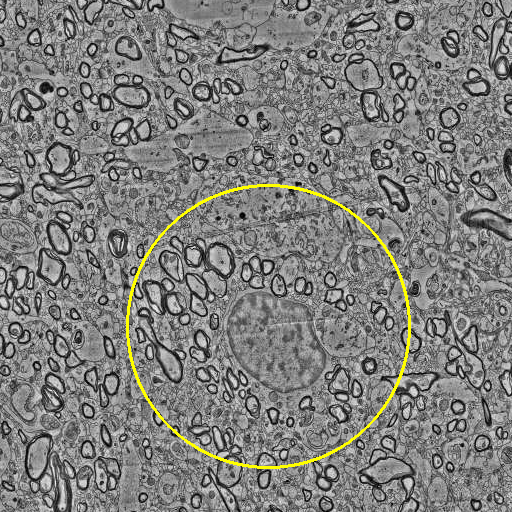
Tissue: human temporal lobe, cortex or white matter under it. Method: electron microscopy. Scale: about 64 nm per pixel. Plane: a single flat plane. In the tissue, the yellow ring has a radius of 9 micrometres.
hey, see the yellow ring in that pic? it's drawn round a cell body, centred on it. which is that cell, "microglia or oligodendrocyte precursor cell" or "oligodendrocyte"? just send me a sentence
The cell in the ring is an oligodendrocyte.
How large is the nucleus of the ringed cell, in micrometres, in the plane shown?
The nucleus is approximately 7 micrometers long by 6 micrometers wide in this plane.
